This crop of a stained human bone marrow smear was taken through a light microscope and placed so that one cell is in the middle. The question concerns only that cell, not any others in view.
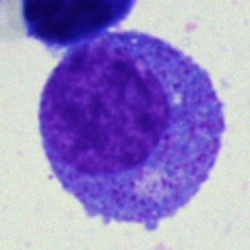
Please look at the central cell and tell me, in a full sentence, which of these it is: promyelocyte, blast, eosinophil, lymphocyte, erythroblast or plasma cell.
The cell of interest, located centrally, is a promyelocyte.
